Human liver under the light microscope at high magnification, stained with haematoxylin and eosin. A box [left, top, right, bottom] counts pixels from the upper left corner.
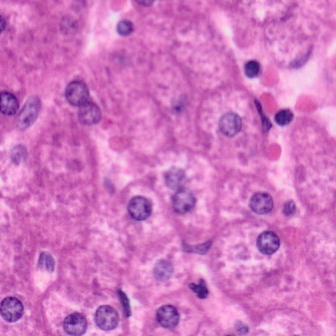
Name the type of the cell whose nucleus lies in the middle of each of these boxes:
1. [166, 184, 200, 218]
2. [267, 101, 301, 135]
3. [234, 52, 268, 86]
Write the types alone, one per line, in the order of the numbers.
hepatocyte
lymphocyte
lymphocyte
